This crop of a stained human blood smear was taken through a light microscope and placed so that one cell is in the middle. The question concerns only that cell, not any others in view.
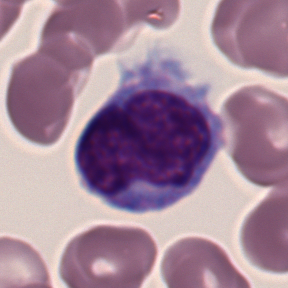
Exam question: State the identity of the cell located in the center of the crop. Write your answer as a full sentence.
The cell found in the middle of this crop is a monocyte.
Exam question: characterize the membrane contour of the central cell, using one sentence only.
Irregular rather than smooth, the cell margin shows ragged areas or projections.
